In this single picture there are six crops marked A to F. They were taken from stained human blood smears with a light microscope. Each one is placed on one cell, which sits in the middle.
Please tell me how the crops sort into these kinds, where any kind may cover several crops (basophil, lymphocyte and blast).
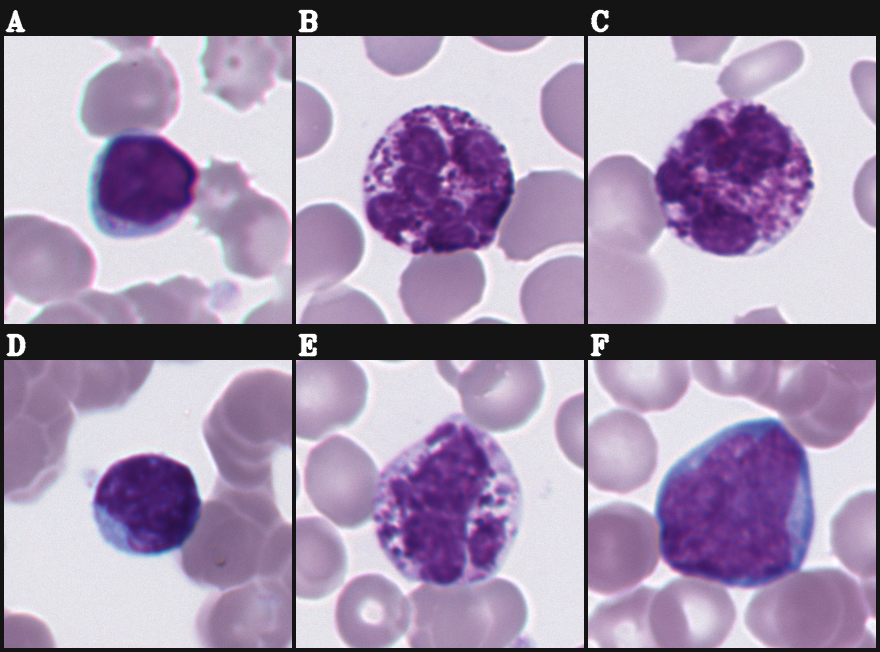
A: lymphocyte
B: basophil
C: basophil
D: lymphocyte
E: basophil
F: blast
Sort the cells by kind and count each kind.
basophil: 3
lymphocyte: 2
blast: 1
